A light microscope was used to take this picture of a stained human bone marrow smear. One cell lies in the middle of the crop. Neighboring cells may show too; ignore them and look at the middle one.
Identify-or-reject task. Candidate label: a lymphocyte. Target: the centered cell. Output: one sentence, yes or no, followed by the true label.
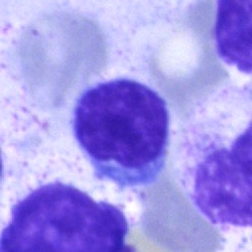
Yes, the centered cell in this field is a lymphocyte.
